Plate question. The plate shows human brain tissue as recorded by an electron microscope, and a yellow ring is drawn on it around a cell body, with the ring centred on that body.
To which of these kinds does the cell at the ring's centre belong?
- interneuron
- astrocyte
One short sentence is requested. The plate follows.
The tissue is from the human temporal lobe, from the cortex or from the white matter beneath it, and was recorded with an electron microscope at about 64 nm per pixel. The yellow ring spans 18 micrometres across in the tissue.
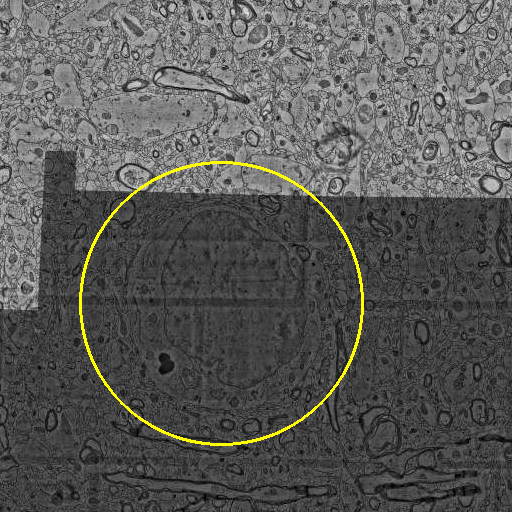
The cell at the ring's centre is an interneuron.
